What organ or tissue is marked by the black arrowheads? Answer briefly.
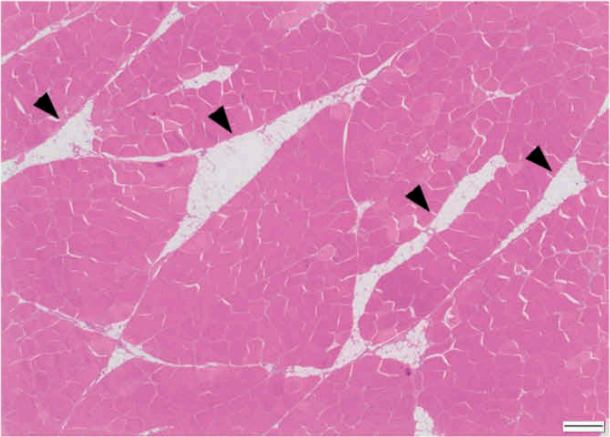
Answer: Adipocyte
